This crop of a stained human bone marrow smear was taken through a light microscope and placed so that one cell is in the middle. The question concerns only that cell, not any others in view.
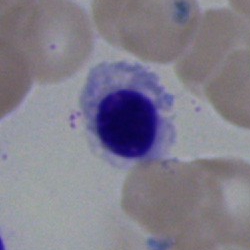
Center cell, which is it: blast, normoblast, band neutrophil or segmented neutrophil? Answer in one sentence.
By classification, the middle cell of this crop is a normoblast.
